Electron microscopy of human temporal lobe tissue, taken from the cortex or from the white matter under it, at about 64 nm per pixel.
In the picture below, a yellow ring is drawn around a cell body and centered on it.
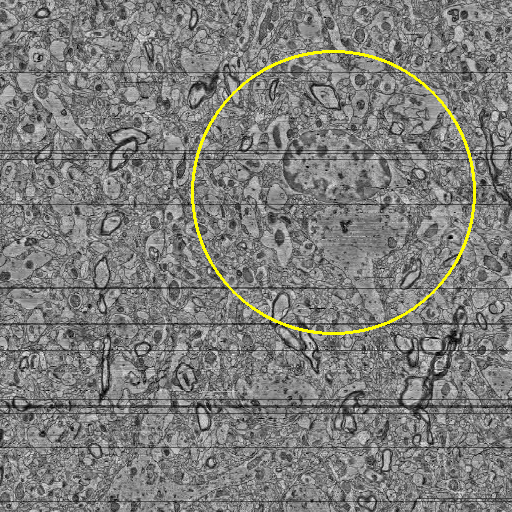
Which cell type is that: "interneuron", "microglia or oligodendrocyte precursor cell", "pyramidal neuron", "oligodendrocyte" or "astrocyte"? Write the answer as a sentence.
The cell centered in the ring is a microglial cell or oligodendrocyte precursor cell.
